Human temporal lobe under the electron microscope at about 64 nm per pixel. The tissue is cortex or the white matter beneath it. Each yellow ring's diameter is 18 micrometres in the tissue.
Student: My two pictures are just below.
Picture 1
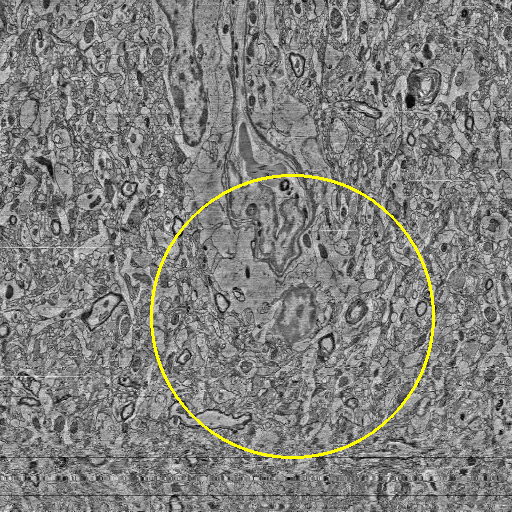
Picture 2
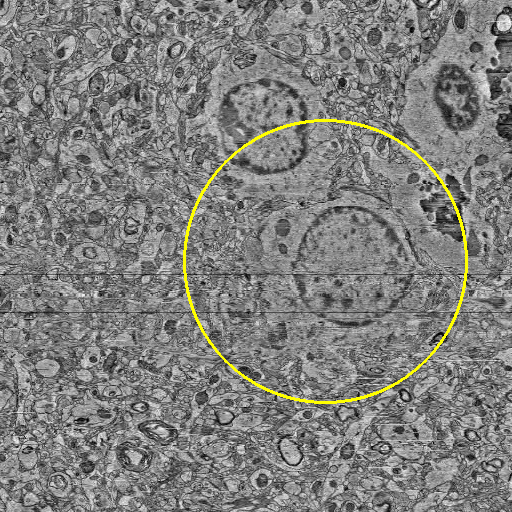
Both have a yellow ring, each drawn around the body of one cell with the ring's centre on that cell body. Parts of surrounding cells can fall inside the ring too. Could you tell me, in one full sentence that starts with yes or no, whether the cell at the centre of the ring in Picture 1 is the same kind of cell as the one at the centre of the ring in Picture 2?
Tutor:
No, the two cells are of two kinds.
